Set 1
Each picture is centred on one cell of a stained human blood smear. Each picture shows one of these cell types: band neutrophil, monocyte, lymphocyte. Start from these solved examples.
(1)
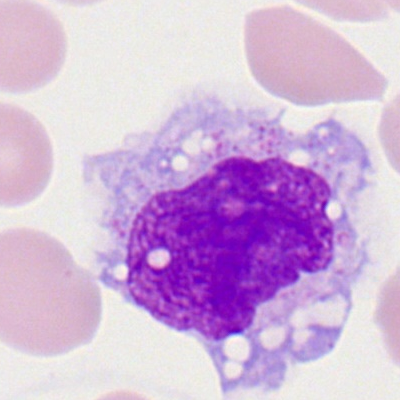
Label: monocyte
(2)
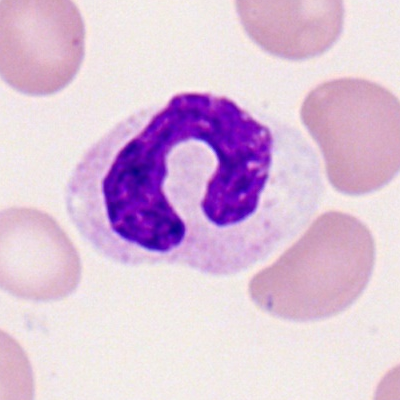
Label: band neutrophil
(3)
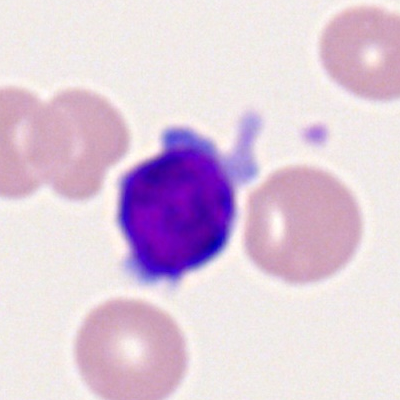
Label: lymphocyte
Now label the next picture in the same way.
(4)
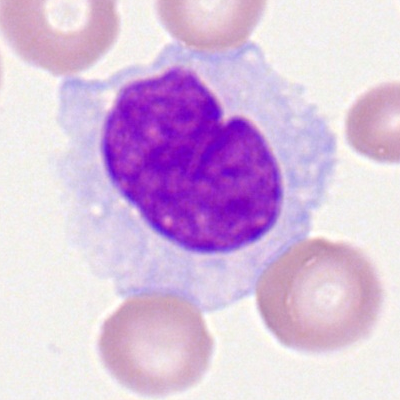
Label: monocyte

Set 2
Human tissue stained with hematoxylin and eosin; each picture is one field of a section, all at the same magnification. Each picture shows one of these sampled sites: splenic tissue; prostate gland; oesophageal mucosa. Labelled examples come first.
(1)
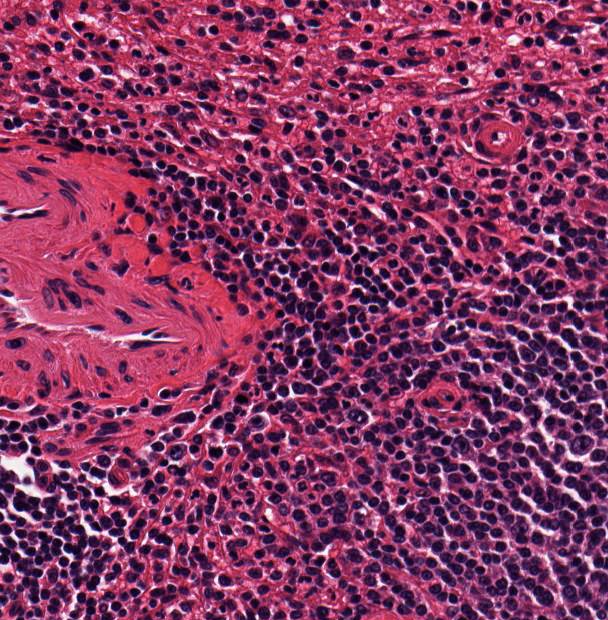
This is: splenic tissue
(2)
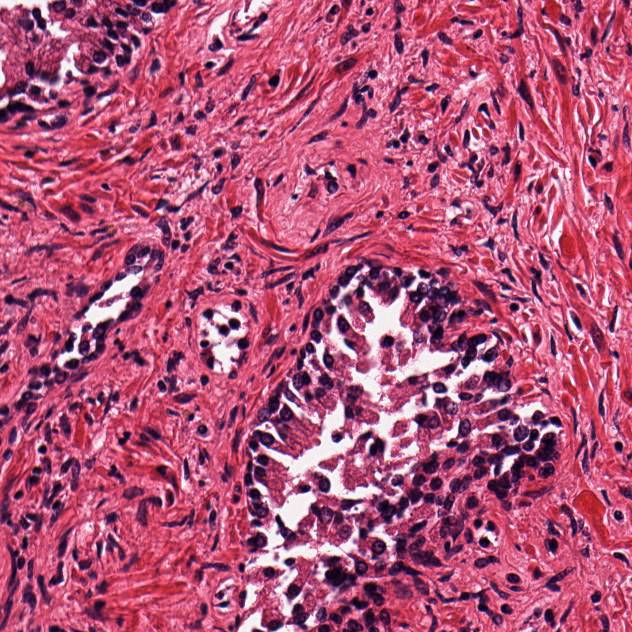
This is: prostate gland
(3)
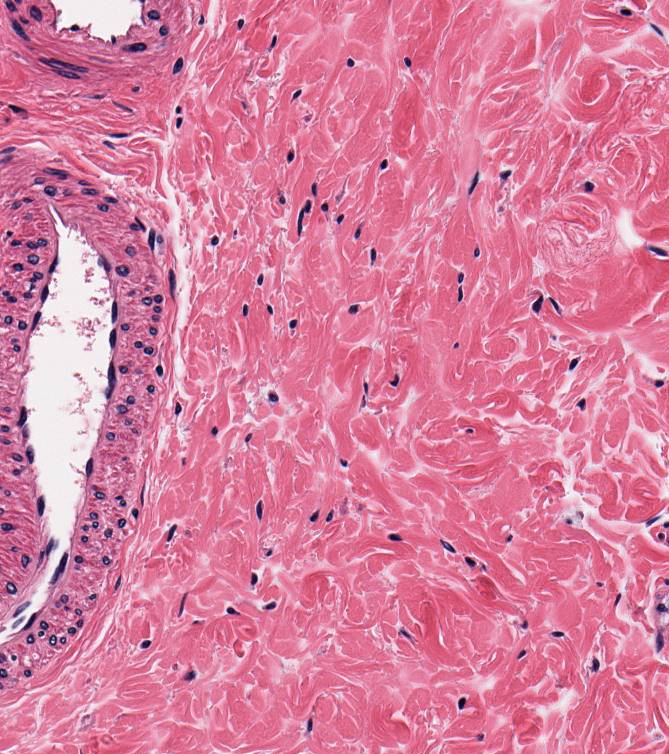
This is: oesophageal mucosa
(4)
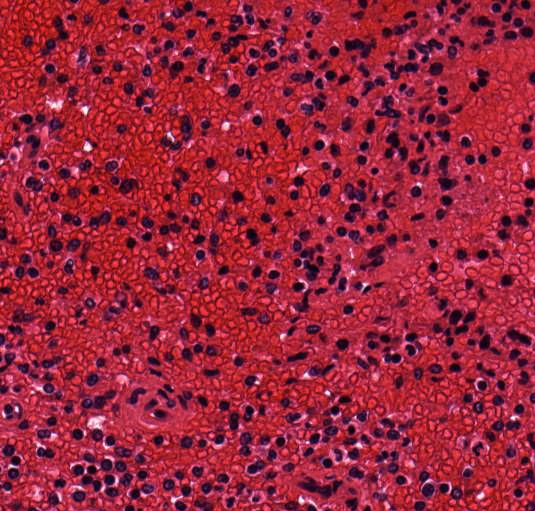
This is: splenic tissue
